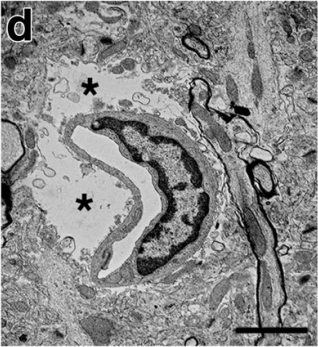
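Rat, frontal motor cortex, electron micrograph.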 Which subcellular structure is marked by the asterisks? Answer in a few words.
Astrocytic endfeet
